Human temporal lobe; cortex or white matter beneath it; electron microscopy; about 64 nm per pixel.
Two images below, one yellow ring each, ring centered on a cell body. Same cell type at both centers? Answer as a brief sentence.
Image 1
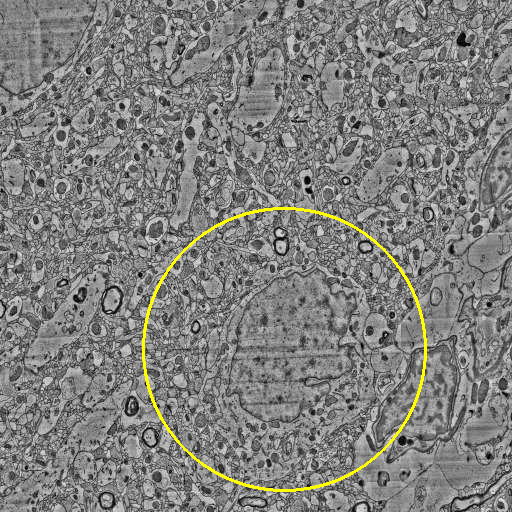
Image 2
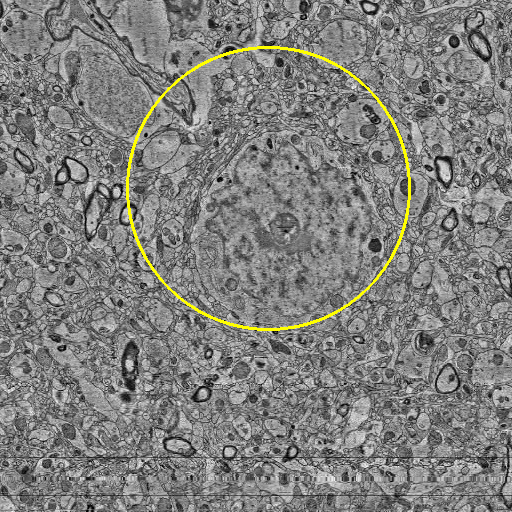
Yes, both cells are of the same type.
